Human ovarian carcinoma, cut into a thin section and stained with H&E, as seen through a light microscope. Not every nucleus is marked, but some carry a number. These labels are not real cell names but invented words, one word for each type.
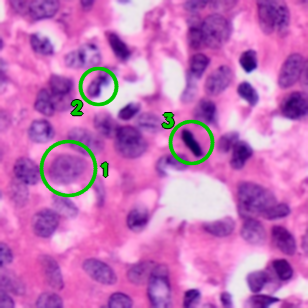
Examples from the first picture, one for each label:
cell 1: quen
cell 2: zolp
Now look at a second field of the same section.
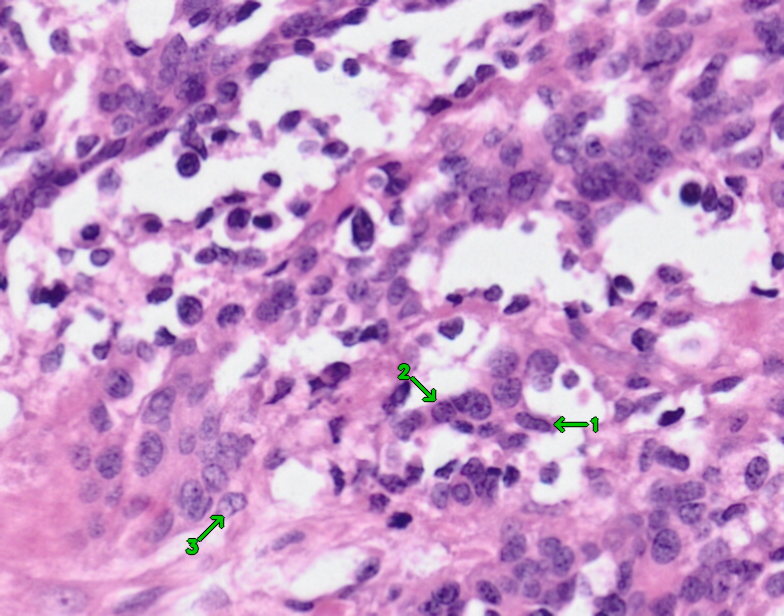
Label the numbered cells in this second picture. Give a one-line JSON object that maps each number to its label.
{"1": "quen", "2": "quen", "3": "zolp"}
